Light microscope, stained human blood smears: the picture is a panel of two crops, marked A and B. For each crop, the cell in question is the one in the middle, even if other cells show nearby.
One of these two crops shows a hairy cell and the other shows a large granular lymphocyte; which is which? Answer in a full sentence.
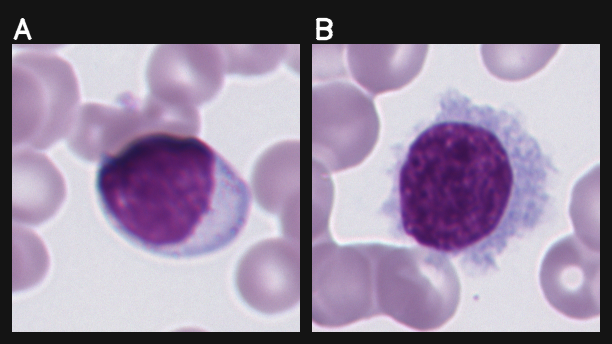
The cell of crop A is a large granular lymphocyte; that of crop B is a hairy cell.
